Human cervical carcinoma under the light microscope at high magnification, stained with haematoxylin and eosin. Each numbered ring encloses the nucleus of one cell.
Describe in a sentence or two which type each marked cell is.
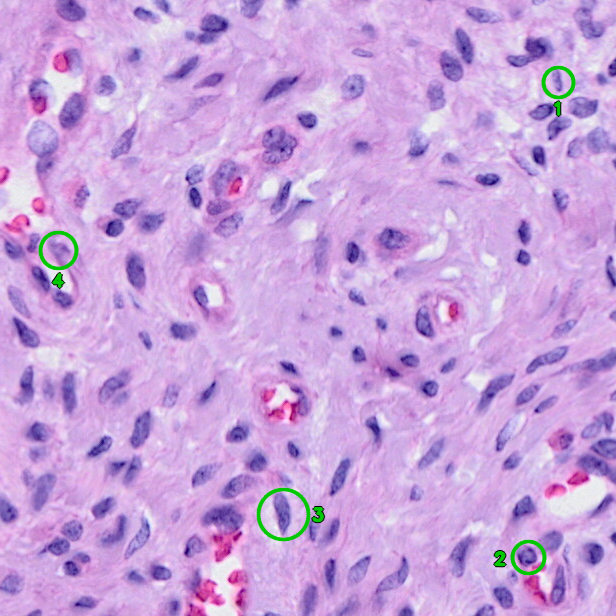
Cells 1 and 3 are fibroblasts. Cells 2 and 4 are endothelial cells.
